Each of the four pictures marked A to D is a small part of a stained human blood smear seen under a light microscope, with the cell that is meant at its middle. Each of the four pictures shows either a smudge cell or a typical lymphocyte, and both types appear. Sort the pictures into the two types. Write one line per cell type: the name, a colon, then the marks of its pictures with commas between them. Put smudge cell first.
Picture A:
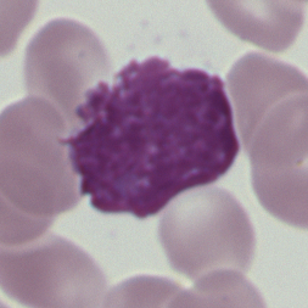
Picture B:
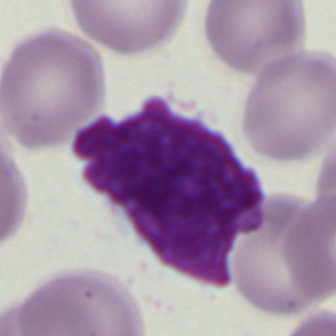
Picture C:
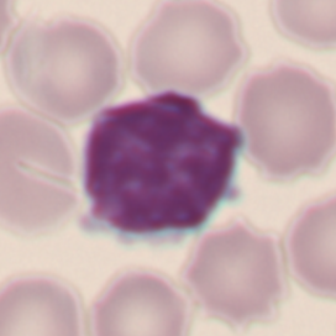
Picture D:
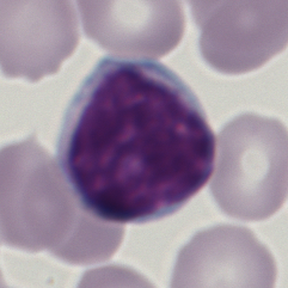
smudge cell: A, B
typical lymphocyte: C, D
